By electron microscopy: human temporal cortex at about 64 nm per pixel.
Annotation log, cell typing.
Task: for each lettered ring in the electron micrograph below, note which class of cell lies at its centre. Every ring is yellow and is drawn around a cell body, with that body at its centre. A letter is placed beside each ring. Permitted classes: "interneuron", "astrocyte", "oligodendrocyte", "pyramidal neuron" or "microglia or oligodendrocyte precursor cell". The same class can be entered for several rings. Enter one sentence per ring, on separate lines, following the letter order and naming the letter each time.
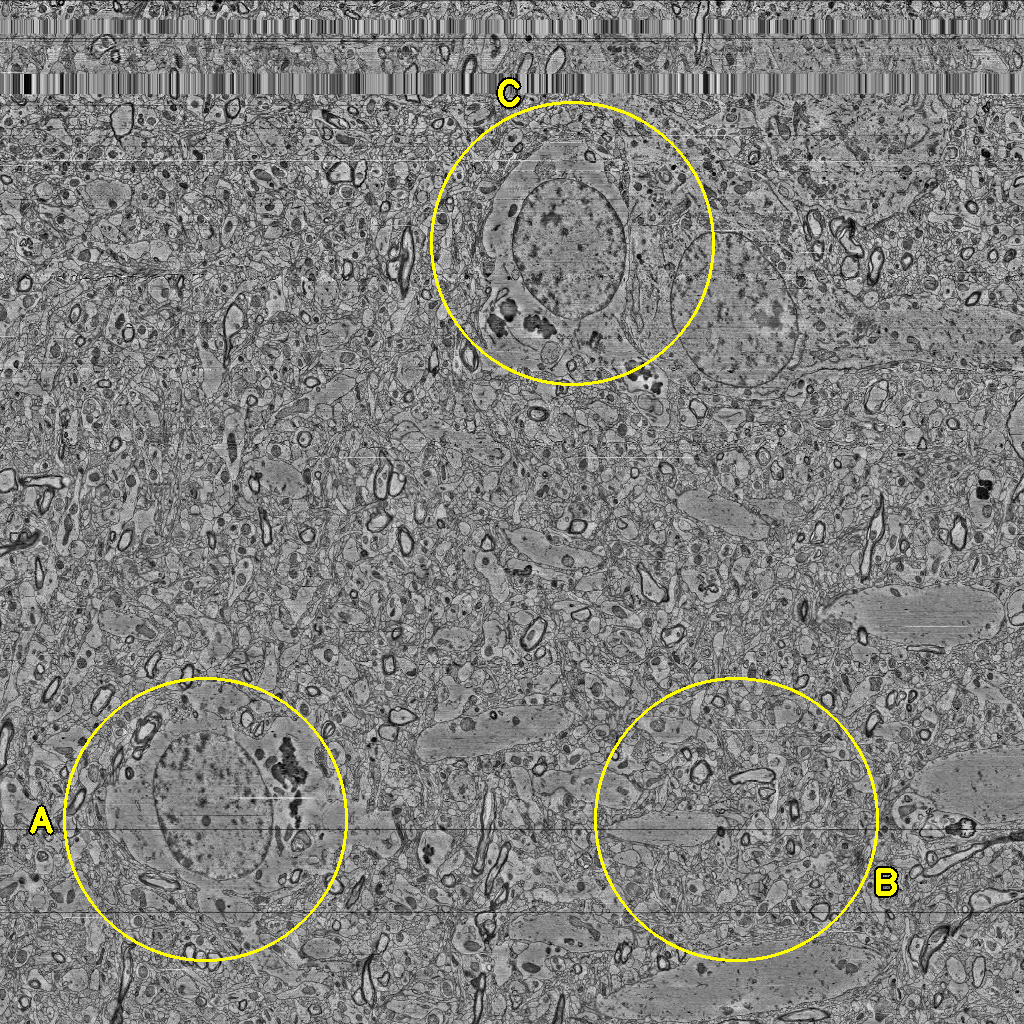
The cell at the centre of ring A is an astrocyte.
The cell at the centre of ring B is an oligodendrocyte.
The cell at the centre of ring C is an astrocyte.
